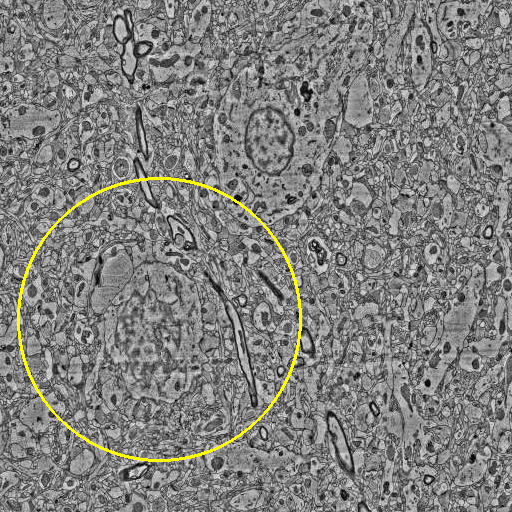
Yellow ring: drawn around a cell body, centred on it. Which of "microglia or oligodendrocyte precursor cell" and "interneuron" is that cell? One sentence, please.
That cell body is from an interneuron.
